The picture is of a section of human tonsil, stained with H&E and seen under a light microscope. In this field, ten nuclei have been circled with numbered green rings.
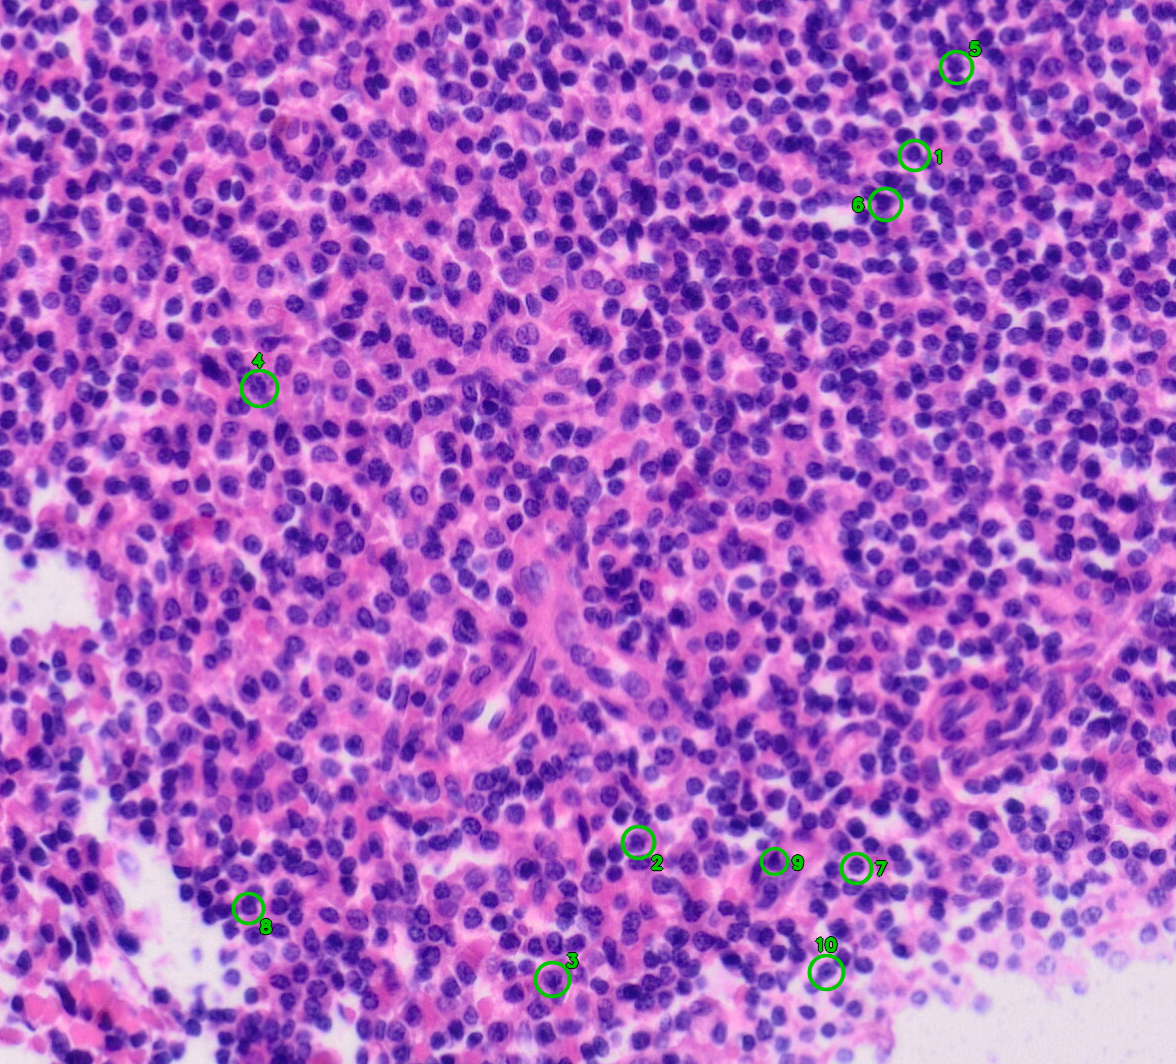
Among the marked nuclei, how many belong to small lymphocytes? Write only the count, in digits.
6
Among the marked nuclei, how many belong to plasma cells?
3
